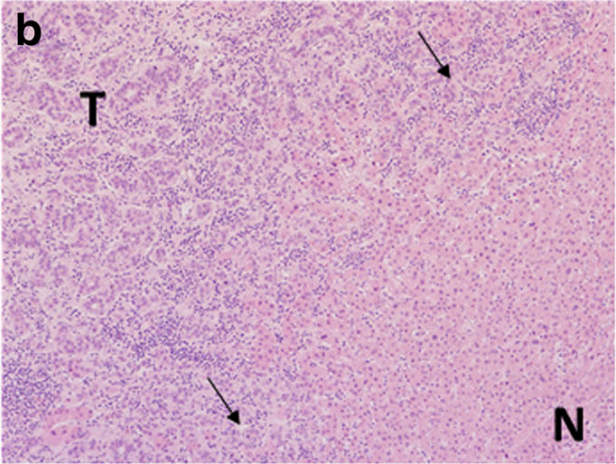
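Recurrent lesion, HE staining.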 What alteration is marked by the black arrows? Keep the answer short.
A: without tumor capsule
